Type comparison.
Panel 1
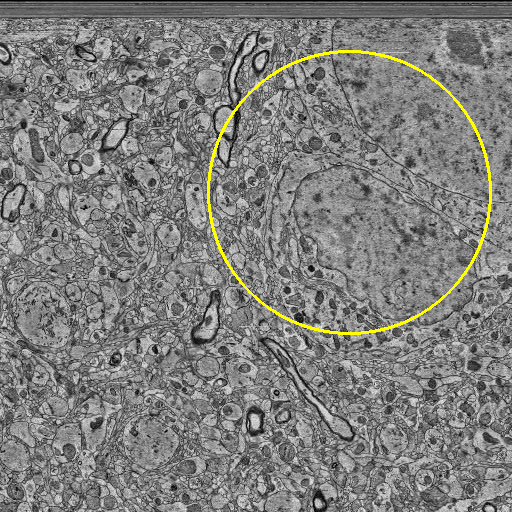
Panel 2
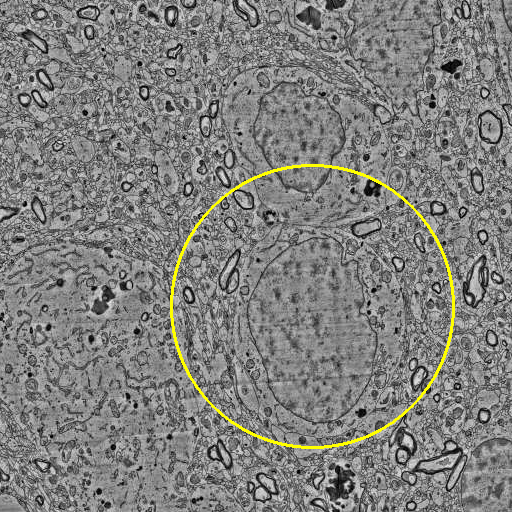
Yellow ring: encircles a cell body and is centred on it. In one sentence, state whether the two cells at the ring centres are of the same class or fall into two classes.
In these panels, the two cells at the ring centres fall into two classes.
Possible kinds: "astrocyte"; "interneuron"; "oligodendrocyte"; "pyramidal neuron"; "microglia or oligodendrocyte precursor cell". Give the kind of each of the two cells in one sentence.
The cell in the second picture is a pyramidal neuron, and that in the first is an interneuron.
